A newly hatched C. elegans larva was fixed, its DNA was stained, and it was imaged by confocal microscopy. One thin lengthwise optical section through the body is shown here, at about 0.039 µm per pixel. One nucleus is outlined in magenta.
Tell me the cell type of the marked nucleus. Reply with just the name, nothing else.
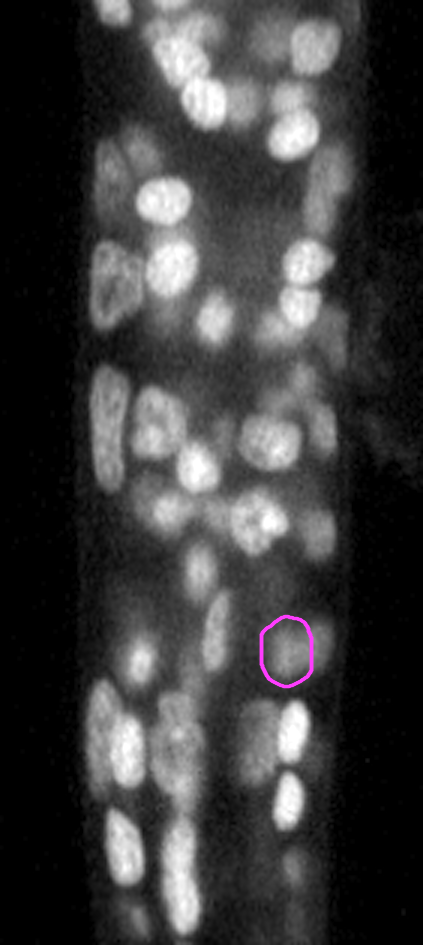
body wall muscle cell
